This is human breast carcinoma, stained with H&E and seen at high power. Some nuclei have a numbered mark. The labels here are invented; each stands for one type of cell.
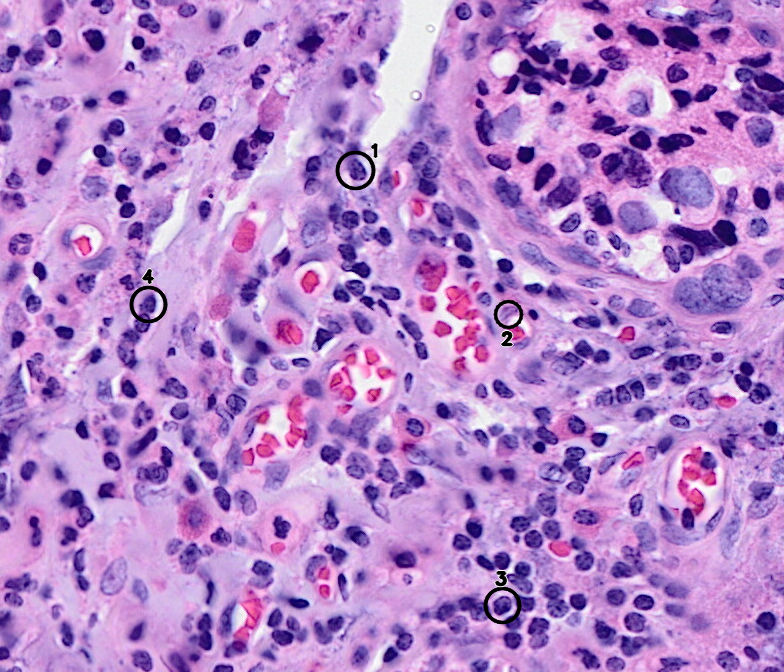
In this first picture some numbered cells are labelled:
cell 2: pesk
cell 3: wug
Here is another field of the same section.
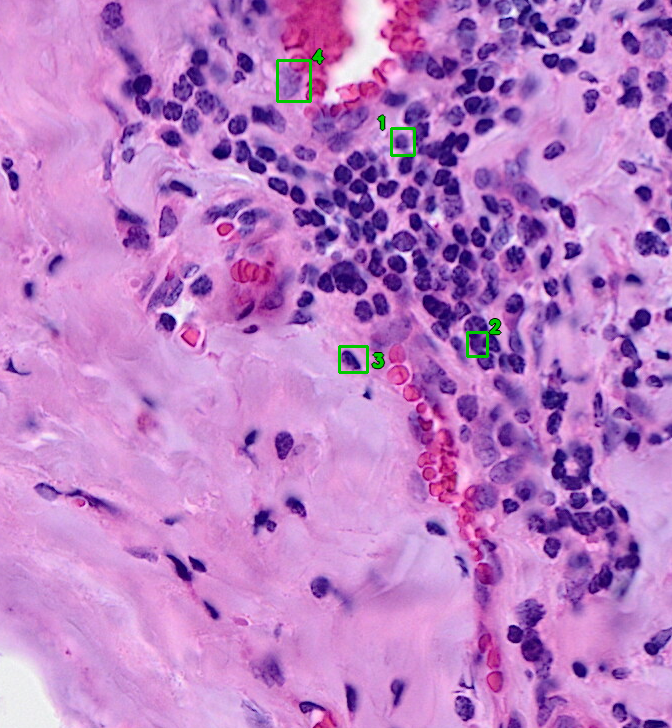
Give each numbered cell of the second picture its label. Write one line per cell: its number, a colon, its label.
1: wug
2: wug
3: wug
4: pesk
